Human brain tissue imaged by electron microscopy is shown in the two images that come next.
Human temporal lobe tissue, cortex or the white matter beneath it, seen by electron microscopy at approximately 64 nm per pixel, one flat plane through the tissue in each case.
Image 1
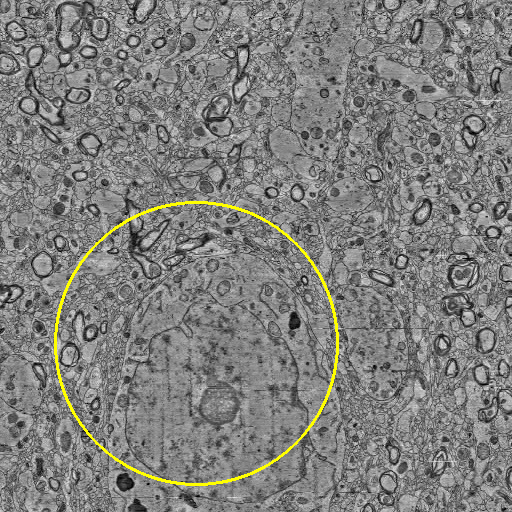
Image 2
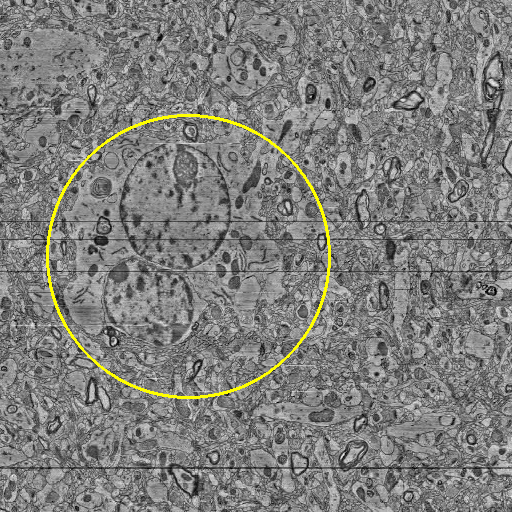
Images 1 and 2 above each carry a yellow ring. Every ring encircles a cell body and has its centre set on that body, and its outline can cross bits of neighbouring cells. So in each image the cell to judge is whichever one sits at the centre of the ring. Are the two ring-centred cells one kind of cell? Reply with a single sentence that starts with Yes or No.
No, in Image 1 and Image 2 the cells at the centres of their rings fall into two types.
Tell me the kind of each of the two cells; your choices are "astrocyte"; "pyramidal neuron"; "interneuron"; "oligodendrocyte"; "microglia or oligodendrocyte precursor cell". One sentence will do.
The ringed cell is a pyramidal neuron in the first picture and an astrocyte in the second picture.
